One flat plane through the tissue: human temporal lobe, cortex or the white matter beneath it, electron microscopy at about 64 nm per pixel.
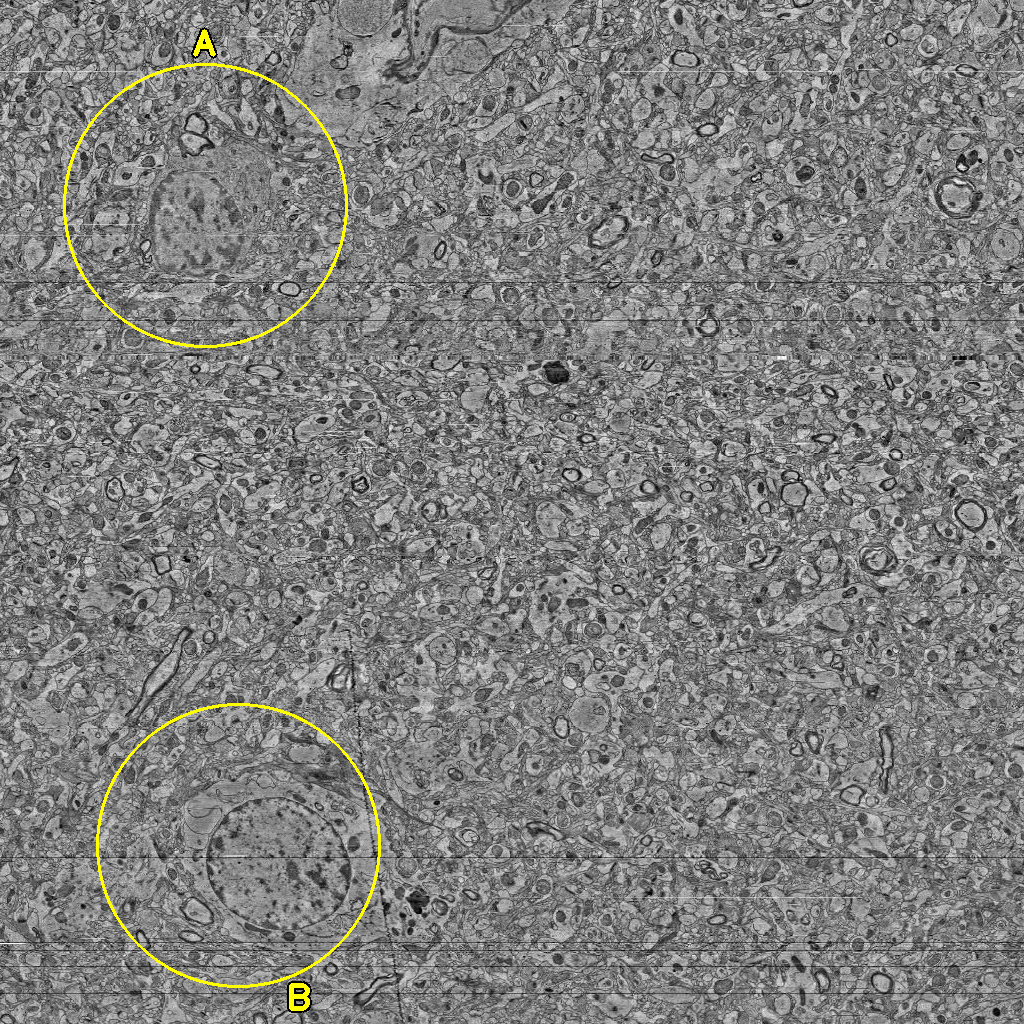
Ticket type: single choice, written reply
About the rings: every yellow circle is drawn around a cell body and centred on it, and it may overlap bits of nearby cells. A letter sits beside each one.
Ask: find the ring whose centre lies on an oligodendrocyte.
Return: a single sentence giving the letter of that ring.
At the centre of the ring marked A lies the cell asked for.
